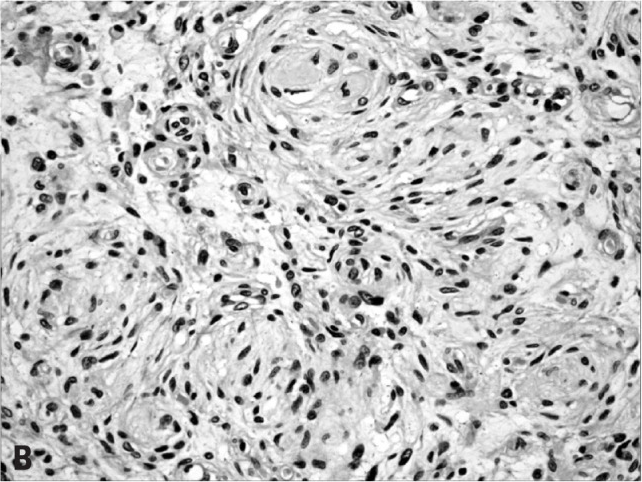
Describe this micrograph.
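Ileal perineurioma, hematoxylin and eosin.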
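Tumour tissue composed of bland spindle cells with ovoid to elongated nuclei and indistinct cytoplasm. The nuclei are fairly uniform, without marked enlargement or crowding. The spindle cells are arranged in concentric whorls, several of which surround small round vascular lumina. Between the whorls the cells run in looser, interlacing streams within a pale background.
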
